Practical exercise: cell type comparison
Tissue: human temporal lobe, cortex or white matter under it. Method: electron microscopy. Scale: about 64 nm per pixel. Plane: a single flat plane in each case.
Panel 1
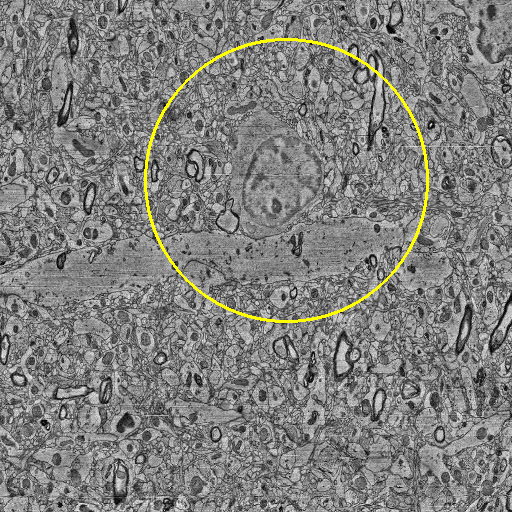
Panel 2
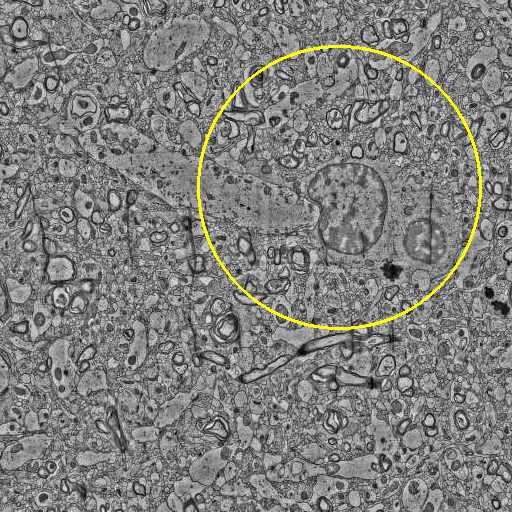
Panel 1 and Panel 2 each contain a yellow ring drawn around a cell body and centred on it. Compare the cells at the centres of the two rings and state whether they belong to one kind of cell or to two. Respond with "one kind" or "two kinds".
one kind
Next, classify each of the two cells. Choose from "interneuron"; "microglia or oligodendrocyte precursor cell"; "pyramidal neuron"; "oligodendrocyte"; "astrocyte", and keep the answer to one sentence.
The ring centre holds an oligodendrocyte in each of the two pictures.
